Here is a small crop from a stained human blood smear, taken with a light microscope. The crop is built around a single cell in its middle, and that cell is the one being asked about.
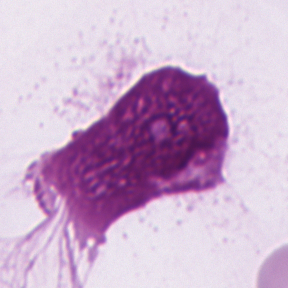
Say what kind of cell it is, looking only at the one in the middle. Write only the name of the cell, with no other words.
smudge cell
